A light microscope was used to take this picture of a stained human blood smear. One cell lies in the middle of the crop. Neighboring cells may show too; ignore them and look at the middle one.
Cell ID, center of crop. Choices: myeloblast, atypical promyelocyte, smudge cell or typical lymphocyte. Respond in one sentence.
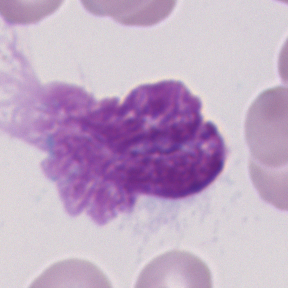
Seen at the centre of the crop is a smudge cell.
